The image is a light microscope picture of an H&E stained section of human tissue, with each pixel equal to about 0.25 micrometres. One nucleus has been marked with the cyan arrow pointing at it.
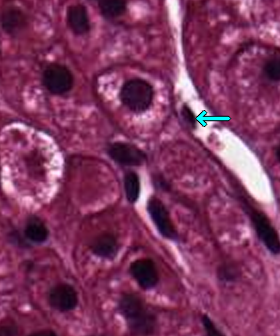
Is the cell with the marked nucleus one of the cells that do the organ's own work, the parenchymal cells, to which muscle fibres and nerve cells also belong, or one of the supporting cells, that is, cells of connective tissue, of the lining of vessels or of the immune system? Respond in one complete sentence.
The marked nucleus is classified as belonging to a supporting cell.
